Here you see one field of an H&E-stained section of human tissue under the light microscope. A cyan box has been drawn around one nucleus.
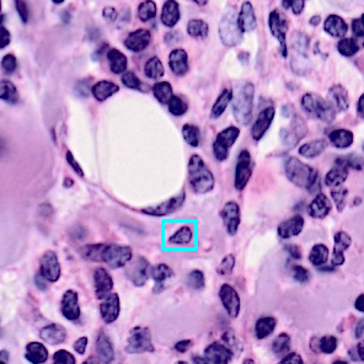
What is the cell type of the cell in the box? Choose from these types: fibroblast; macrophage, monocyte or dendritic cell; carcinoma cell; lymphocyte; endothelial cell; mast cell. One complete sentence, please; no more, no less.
Histopathologically, the cell in the box is a lymphocyte.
